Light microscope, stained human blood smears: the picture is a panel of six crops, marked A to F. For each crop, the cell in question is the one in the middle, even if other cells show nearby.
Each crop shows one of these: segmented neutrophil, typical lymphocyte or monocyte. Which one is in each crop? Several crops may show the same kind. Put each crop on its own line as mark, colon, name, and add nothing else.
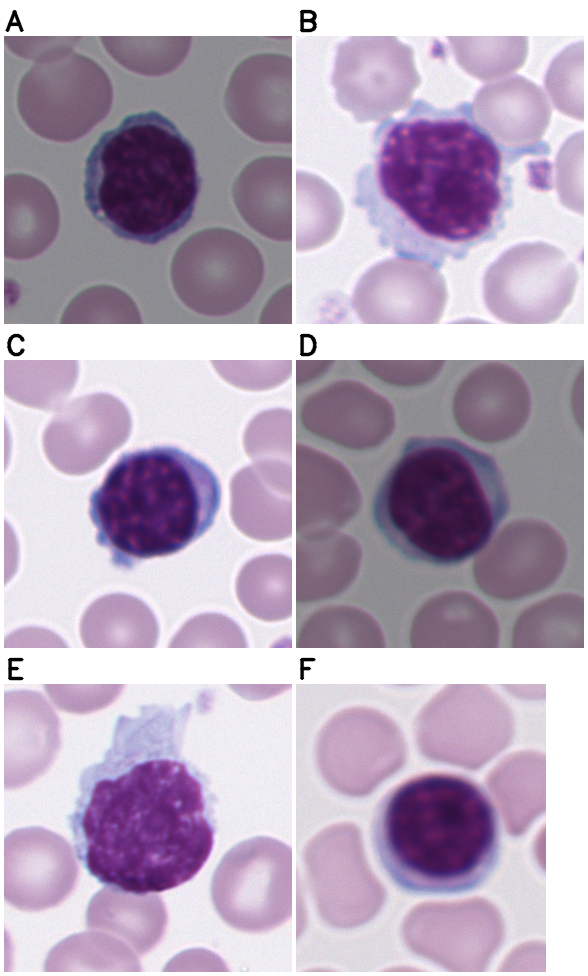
A: typical lymphocyte
B: typical lymphocyte
C: typical lymphocyte
D: typical lymphocyte
E: typical lymphocyte
F: typical lymphocyte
